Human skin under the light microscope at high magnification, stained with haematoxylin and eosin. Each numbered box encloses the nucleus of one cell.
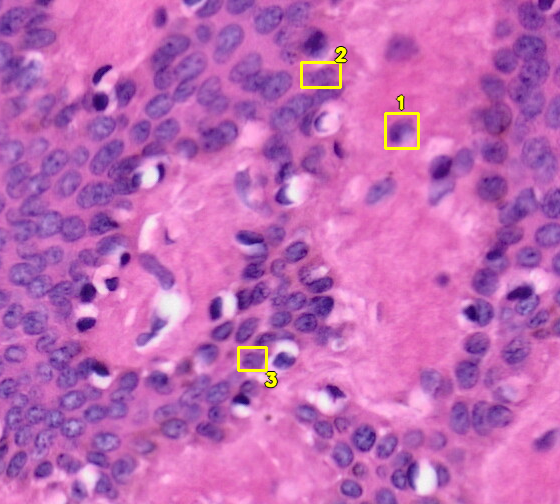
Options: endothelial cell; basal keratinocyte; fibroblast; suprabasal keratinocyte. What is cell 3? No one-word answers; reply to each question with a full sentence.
The cell with the number 3 is a basal keratinocyte.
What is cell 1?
At number 1, the marked cell is a fibroblast.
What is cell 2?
As for number 2, that cell is a basal keratinocyte.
